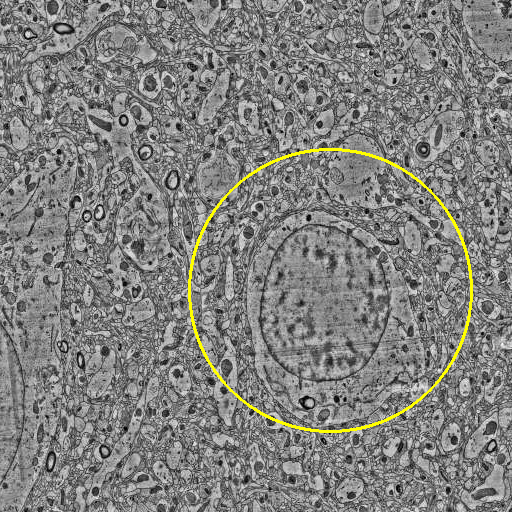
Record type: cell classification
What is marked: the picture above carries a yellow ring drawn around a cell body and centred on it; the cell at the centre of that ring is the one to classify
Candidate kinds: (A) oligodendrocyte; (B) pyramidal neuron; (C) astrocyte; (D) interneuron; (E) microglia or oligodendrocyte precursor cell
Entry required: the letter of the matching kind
B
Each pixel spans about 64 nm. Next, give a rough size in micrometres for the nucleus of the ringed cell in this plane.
The nucleus is about 9 micrometres across in this plane.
